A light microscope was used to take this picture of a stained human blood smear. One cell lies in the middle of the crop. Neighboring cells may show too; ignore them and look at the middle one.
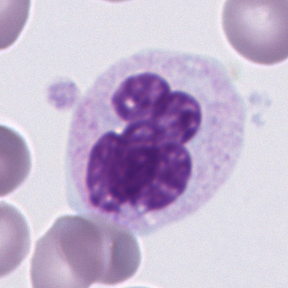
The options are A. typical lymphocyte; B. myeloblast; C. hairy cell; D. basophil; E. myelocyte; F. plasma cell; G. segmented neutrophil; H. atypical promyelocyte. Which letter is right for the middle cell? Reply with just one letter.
G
